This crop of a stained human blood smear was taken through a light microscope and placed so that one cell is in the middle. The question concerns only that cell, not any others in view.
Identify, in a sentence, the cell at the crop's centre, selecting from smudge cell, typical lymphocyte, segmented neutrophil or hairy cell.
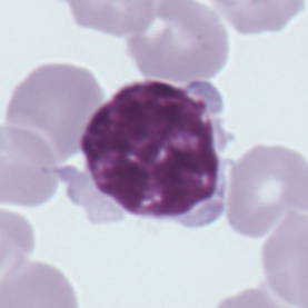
What the crop centres on is a typical lymphocyte.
